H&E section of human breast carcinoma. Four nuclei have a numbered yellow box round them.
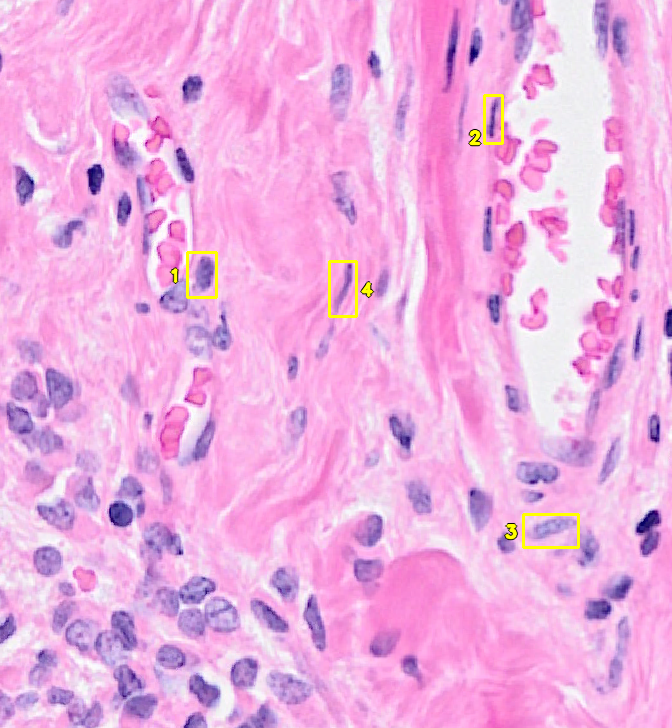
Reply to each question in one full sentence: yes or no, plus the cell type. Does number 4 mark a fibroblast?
Yes, the cell referred to as number 4 is a fibroblast.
